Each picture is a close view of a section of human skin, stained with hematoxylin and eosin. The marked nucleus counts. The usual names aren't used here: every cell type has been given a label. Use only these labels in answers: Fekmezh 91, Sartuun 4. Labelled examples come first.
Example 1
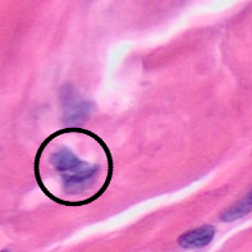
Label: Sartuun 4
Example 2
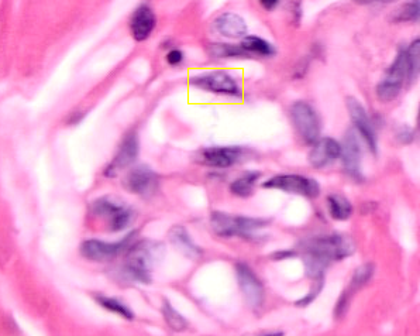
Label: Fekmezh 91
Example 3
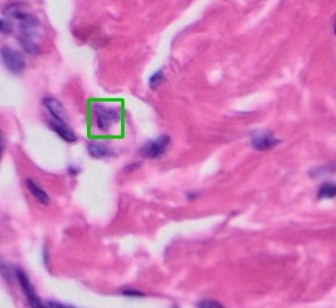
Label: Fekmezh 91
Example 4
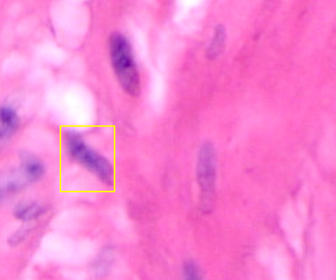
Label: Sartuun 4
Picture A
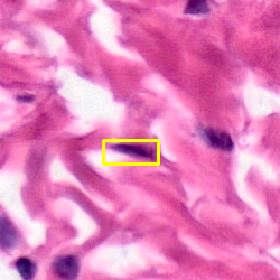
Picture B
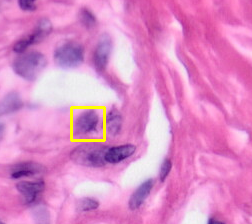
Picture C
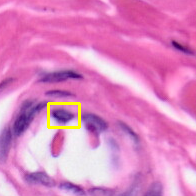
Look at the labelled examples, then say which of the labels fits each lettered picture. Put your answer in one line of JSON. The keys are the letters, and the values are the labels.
{"A": "Sartuun 4", "B": "Fekmezh 91", "C": "Fekmezh 91"}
